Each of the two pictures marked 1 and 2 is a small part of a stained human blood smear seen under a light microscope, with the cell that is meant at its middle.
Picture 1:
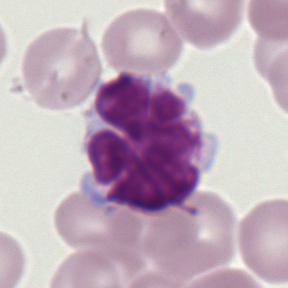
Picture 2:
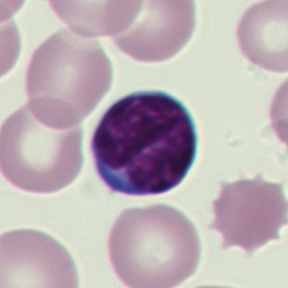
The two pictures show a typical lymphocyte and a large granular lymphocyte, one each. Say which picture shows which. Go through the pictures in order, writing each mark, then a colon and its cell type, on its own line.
1: large granular lymphocyte
2: typical lymphocyte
